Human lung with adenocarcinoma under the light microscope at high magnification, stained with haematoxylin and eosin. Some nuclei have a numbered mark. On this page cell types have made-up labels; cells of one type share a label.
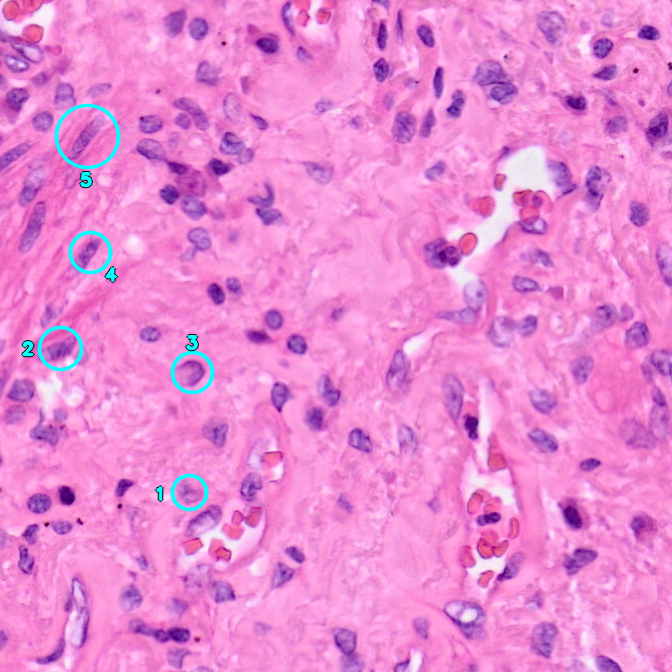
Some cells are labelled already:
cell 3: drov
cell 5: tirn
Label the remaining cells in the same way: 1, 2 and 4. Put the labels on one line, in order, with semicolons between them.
drov; tirn; tirn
